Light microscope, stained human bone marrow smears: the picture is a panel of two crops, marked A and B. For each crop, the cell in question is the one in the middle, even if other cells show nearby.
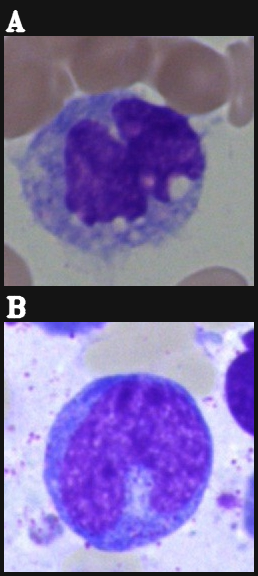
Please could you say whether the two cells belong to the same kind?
yes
